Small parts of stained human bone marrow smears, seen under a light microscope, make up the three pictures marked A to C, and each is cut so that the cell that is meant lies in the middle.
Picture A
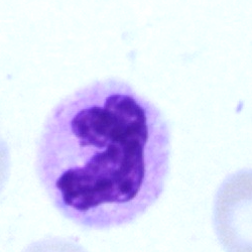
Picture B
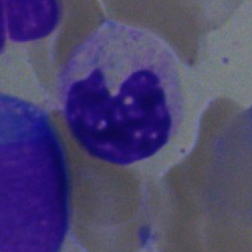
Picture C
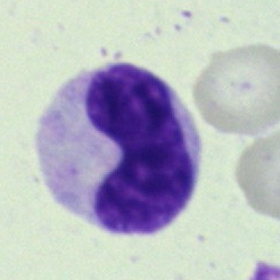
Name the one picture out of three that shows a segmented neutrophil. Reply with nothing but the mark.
A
